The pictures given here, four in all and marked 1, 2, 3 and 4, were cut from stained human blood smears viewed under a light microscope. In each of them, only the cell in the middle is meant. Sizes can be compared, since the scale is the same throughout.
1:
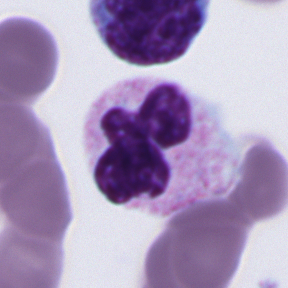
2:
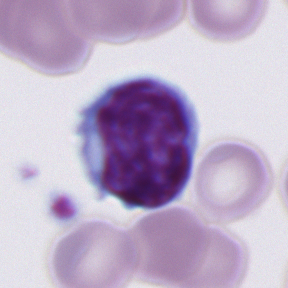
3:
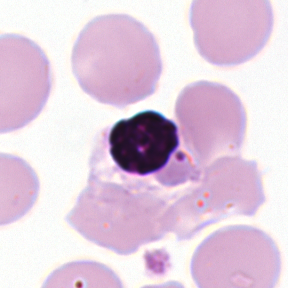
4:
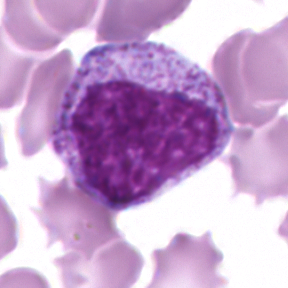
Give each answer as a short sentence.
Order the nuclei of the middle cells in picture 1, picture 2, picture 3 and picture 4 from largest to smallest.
Going down, they run 4, 2, 1, 3.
